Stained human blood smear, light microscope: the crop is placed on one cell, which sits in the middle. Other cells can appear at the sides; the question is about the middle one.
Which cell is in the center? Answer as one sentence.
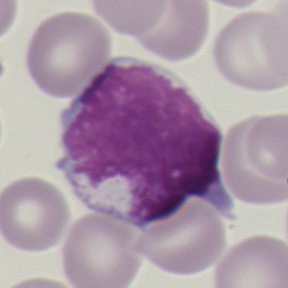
This particular crop is centered on a large granular lymphocyte.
